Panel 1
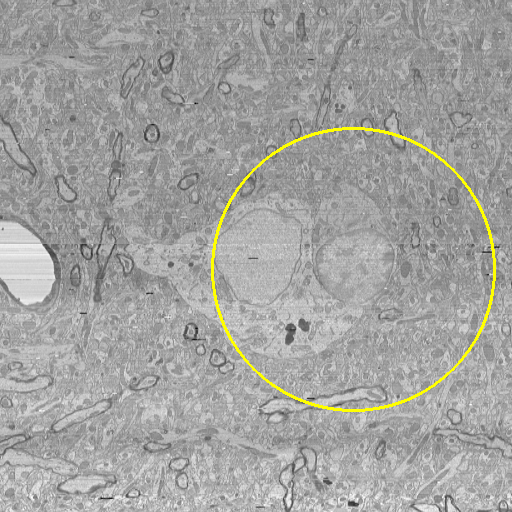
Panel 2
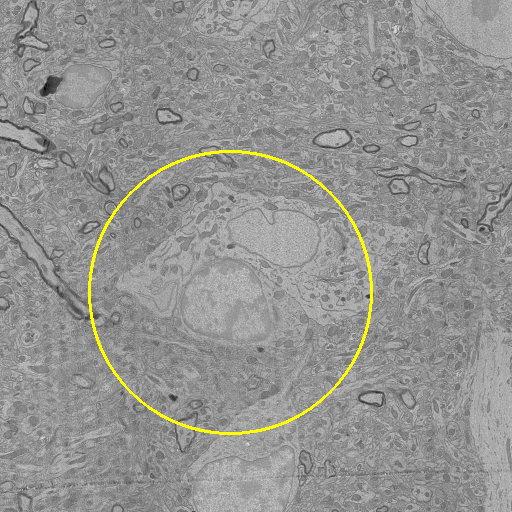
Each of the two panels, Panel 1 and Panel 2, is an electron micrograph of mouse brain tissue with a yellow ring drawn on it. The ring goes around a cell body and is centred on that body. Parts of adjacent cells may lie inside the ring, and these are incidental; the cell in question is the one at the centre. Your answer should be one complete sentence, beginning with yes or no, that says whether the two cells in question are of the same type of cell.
Yes, the two cells are of the same type.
